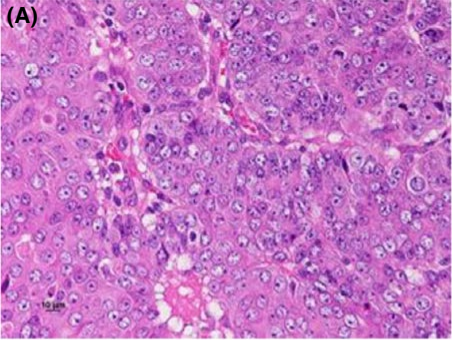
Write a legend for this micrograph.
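Solid tumor arranged in a compact alveolar pattern: closely packed nests of large polygonal tumor cells separated by thin fibrovascular septa that contain small vessels with red blood cells. The cells have ample pink, eosinophilic cytoplasm and fairly distinct cell borders. Their nuclei are round to oval, vesicular, and many show a prominent nucleolus; nuclear size varies moderately from cell to cell. Within the nests the cells lie sheet-like against one another, and no conspicuous gland lumens are formed. The delicate septa give the tumor a nested, lobulated look.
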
